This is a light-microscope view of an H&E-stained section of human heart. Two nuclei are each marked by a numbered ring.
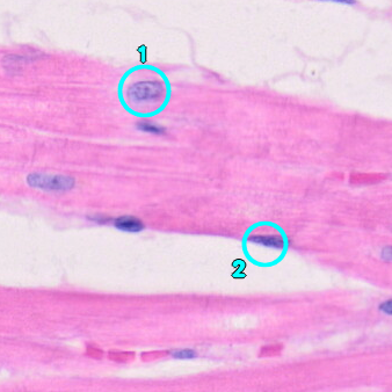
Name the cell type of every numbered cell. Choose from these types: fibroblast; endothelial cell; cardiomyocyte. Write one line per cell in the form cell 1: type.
cell 1: cardiomyocyte
cell 2: endothelial cell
